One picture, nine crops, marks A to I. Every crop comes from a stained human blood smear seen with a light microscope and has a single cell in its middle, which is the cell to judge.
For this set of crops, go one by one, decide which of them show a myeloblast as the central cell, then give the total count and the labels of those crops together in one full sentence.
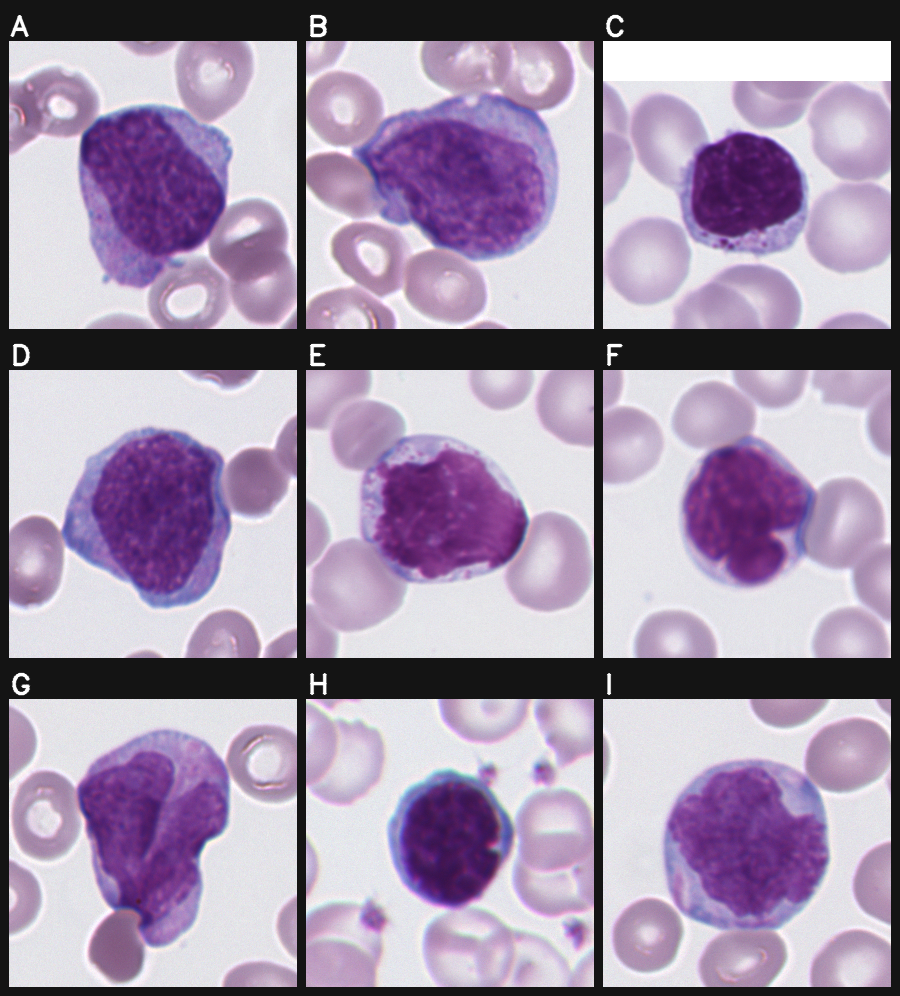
There are no myeloblasts in any crop, which makes the total zero.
